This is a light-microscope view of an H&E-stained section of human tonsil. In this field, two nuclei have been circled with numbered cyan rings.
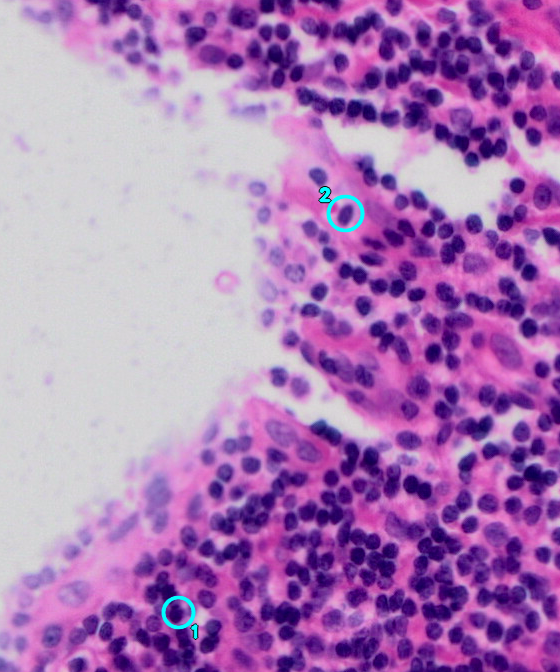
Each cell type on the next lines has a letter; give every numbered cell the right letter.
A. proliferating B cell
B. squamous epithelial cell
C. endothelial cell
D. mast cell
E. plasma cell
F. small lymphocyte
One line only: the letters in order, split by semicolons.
F; C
